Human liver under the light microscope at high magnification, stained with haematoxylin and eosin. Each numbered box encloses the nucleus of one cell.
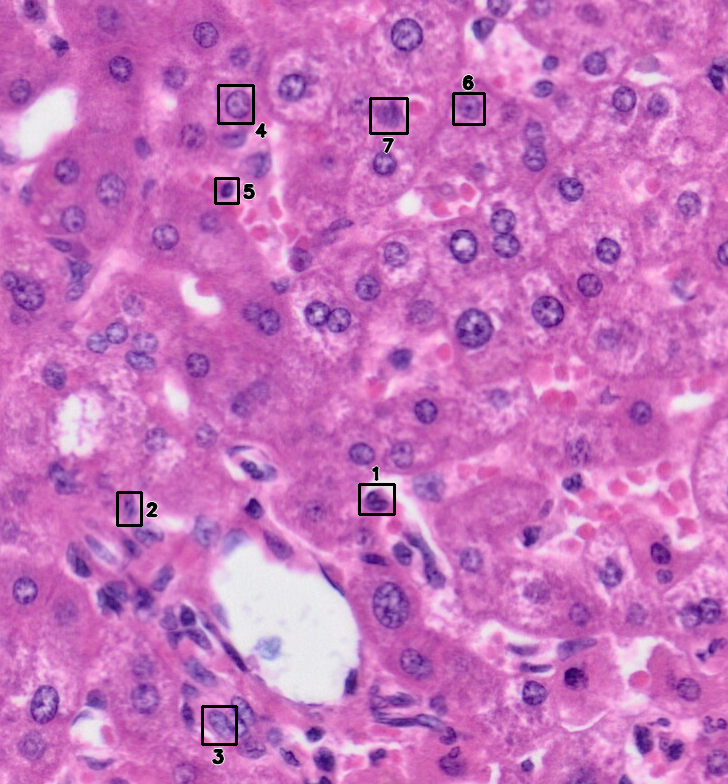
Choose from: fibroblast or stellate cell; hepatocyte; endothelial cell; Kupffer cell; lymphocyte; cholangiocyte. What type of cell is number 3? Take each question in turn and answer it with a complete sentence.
Corresponding to a cholangiocyte is the cell labelled 3.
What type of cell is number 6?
Identified as a hepatocyte is the cell bearing the number 6.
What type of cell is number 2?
The marked cell with the number 2 is recognised as a fibroblast or stellate cell.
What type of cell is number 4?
To a hepatocyte belongs the nucleus marked 4.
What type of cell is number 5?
The identity of cell 5 is that of a lymphocyte.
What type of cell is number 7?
The mark numbered 7 indicates the nucleus of an endothelial cell.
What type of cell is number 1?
The label 1 in this section denotes a Kupffer cell.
